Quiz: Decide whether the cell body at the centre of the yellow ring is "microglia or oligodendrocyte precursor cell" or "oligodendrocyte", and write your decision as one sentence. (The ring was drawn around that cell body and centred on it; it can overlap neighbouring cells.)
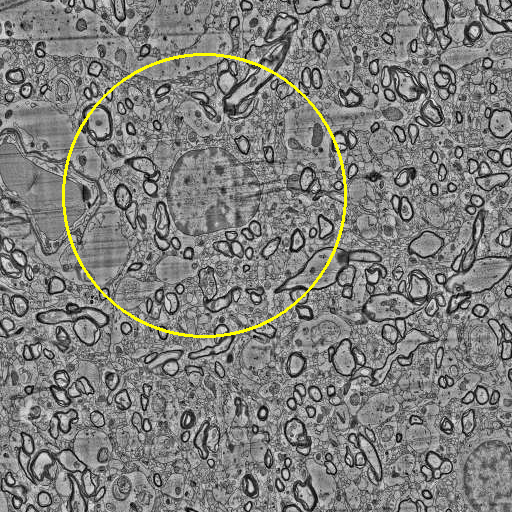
The cell the ring is centred on is a microglial cell or oligodendrocyte precursor cell.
